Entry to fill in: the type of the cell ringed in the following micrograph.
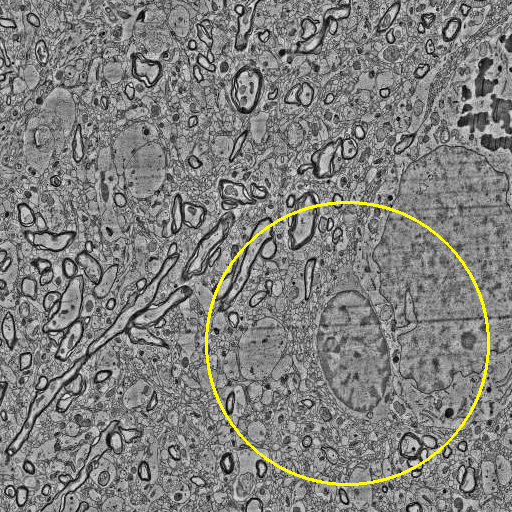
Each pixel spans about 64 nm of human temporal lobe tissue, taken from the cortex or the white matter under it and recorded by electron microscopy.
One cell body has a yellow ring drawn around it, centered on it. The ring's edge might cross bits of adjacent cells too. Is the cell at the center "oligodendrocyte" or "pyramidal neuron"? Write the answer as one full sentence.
This entry names an oligodendrocyte as the cell whose body lies at the ring's center.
